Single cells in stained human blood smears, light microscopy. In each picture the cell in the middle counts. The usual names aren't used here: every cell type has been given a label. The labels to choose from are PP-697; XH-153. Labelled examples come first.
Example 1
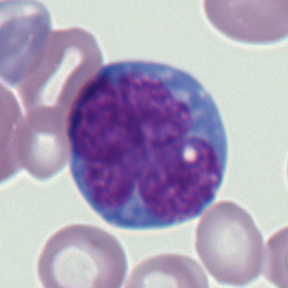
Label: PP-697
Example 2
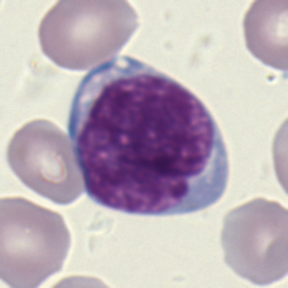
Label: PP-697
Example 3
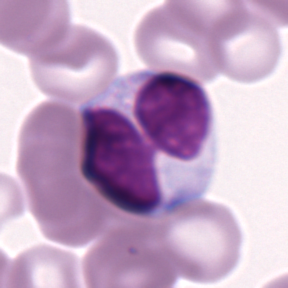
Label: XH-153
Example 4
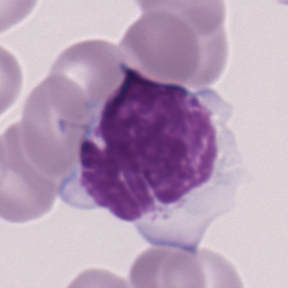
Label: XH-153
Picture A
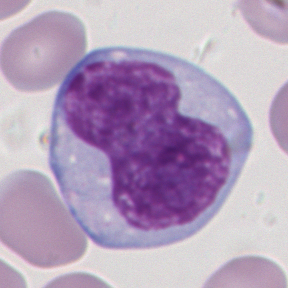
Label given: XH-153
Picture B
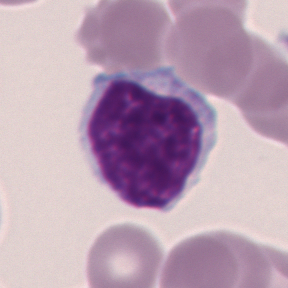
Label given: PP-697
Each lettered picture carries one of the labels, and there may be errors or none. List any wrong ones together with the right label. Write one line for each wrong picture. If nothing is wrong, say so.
A: not XH-153 but PP-697
B: not PP-697 but XH-153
